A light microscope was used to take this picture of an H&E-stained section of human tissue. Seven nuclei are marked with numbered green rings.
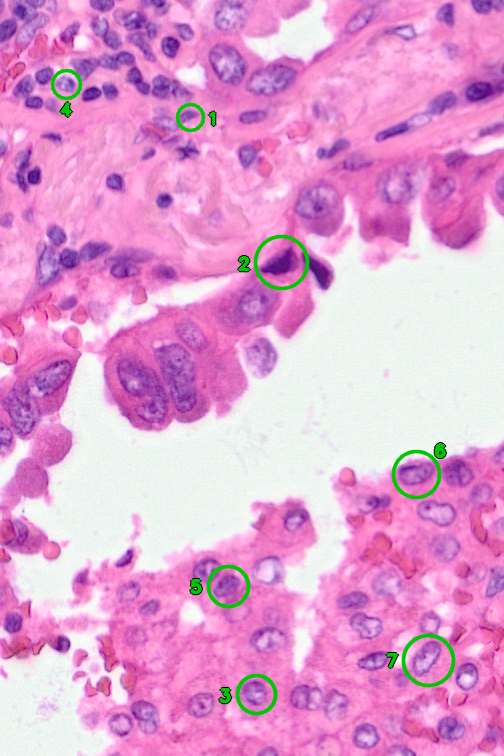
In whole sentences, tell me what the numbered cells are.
Cell 1 is a lymphocyte, cell 2 is a carcinoma cell, cell 3 is a macrophage or monocyte, cell 4 is a lymphocyte, cell 5 is a macrophage or monocyte, cell 6 is a macrophage or monocyte and cell 7 is a macrophage or monocyte.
